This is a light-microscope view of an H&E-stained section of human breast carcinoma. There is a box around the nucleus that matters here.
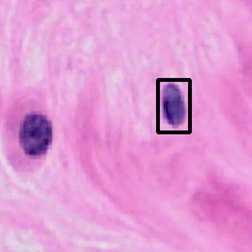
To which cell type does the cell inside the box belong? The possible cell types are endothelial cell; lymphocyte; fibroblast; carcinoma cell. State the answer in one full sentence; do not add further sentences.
In this preparation, the cell inside the box is a lymphocyte.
